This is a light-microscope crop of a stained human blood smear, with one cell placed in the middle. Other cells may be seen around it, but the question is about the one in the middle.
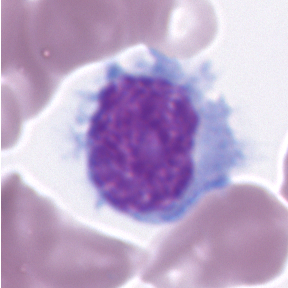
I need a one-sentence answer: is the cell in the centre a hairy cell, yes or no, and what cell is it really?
Yes, what sits in the middle of the crop is a hairy cell.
